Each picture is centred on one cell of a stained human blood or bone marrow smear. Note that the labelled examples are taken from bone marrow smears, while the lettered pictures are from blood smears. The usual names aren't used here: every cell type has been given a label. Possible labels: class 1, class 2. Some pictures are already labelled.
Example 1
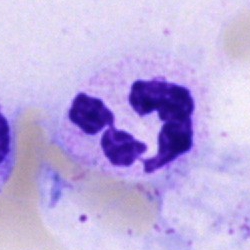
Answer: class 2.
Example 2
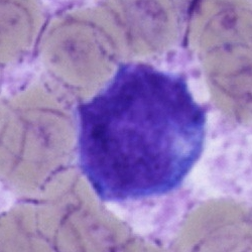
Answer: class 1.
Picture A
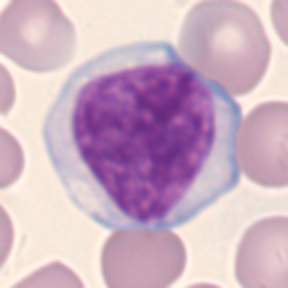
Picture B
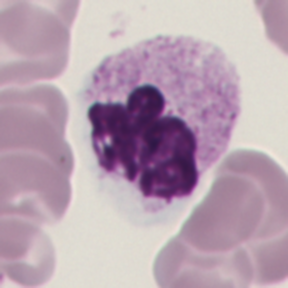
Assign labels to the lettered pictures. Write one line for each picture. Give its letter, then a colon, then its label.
A: class 1.
B: class 2.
